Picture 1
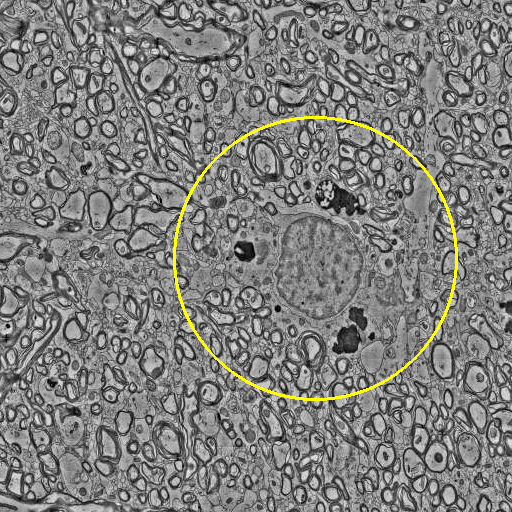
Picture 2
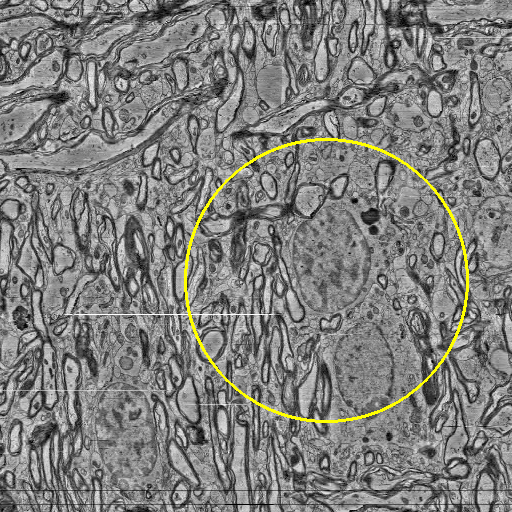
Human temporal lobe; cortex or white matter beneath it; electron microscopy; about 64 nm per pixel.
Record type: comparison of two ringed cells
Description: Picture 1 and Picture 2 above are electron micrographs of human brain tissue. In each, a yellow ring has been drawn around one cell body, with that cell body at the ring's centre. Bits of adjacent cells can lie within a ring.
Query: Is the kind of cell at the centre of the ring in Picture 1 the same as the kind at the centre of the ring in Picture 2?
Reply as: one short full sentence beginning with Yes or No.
Yes, the two ringed cells are of the same kind.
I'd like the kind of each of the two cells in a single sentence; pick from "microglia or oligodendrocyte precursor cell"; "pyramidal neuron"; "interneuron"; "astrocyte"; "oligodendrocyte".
Each cell, in the first picture and the second, is an oligodendrocyte.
